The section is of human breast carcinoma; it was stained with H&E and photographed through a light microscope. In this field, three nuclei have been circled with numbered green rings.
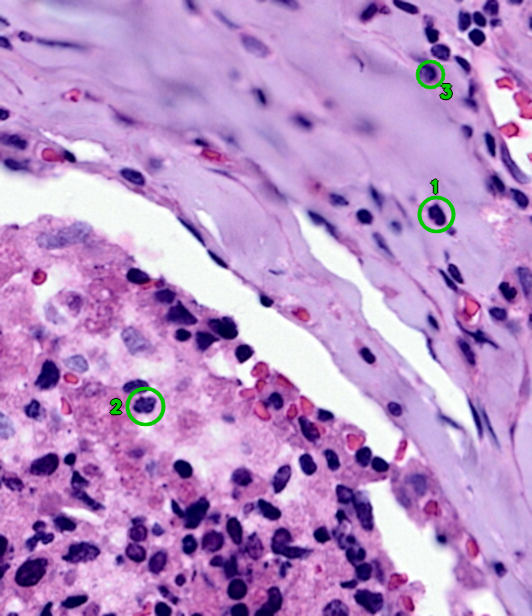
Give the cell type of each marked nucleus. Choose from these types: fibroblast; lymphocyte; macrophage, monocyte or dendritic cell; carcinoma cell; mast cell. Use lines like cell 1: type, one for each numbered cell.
cell 1: lymphocyte
cell 2: lymphocyte
cell 3: mast cell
